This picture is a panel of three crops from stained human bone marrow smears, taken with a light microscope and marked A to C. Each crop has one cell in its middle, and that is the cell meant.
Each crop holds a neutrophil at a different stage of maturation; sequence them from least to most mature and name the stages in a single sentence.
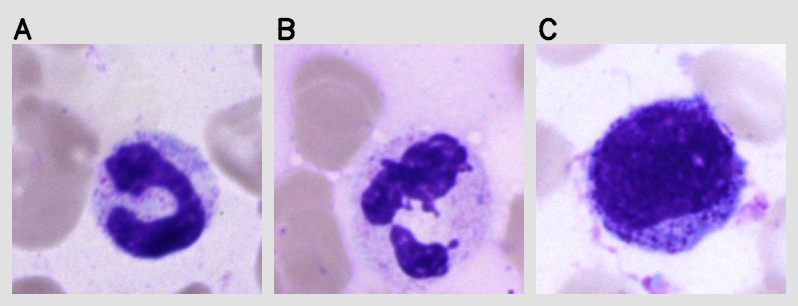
From least mature to most mature, the crops fall in the order crop C (a promyelocyte), crop A (a band neutrophil) and crop B (a segmented neutrophil).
